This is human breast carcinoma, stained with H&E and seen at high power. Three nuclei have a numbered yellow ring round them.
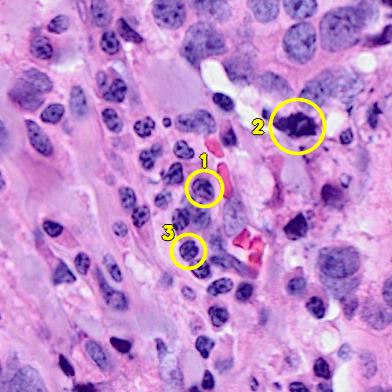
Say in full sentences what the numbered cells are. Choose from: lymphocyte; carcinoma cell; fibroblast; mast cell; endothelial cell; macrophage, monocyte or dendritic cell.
Cell 1 is a lymphocyte, cell 2 is a carcinoma cell and cell 3 is a lymphocyte.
